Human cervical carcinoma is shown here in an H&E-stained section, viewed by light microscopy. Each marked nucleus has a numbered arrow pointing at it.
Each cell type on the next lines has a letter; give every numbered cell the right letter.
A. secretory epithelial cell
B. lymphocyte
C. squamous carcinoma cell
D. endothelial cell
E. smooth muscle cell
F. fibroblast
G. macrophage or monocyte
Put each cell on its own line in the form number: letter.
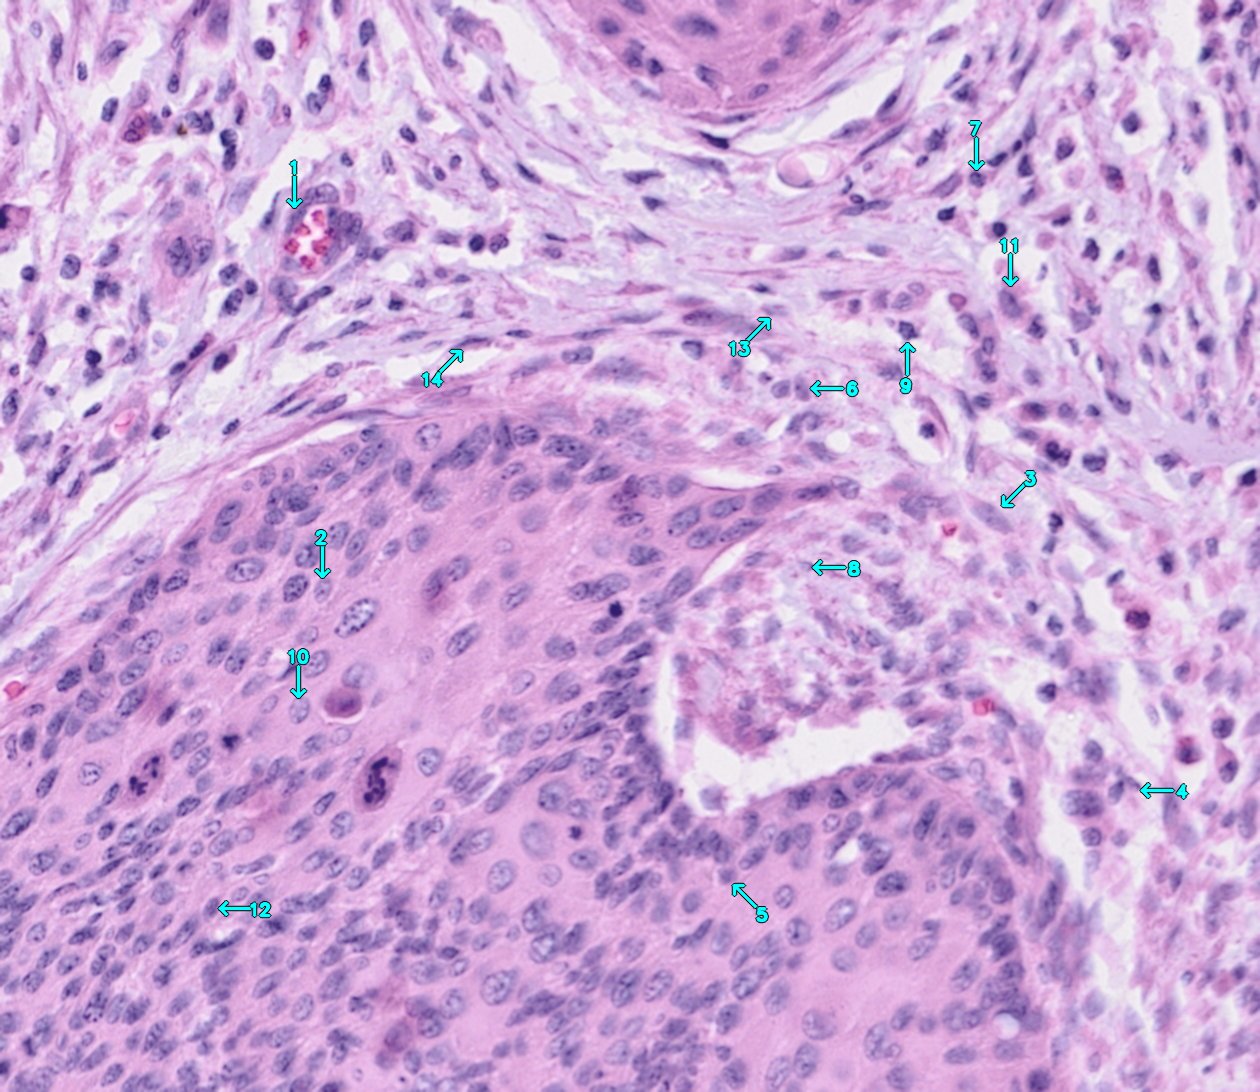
1: D
2: C
3: F
4: G
5: C
6: F
7: B
8: F
9: B
10: C
11: G
12: C
13: F
14: F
